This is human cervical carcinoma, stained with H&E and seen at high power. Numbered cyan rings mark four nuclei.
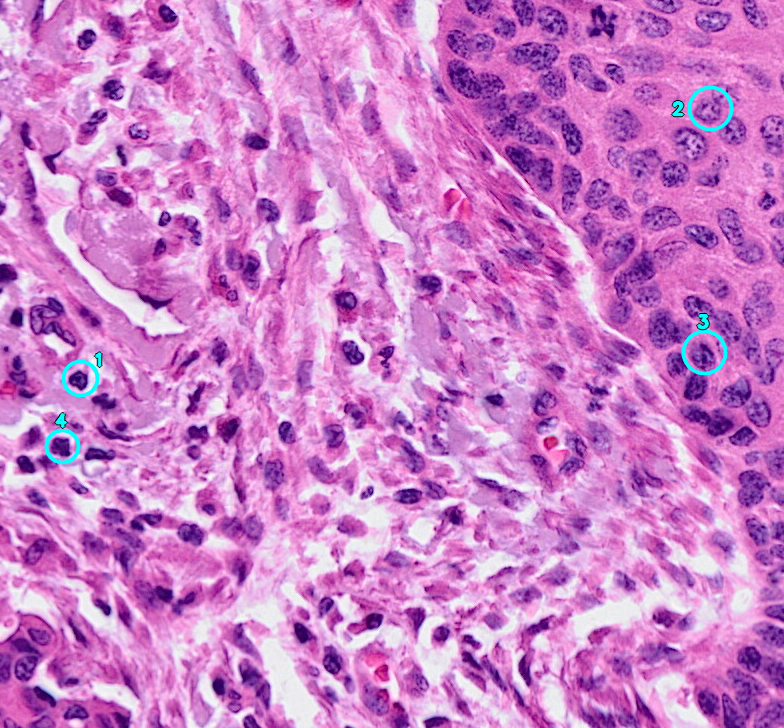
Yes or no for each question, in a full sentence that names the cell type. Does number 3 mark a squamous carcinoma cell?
Yes, that is so; number 3 marks a squamous carcinoma cell.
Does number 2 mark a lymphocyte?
No, cell number 2 is identified as a squamous carcinoma cell, not as a lymphocyte.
